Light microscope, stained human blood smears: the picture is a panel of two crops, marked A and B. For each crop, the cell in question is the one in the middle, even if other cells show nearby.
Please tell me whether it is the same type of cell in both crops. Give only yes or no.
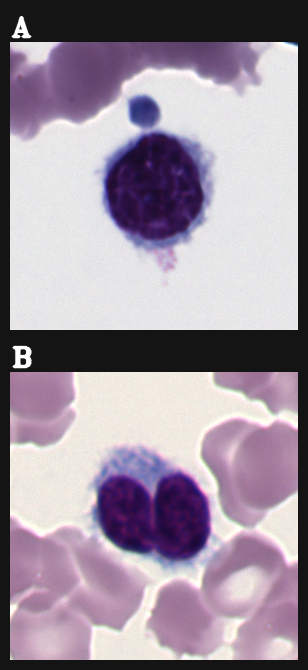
yes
